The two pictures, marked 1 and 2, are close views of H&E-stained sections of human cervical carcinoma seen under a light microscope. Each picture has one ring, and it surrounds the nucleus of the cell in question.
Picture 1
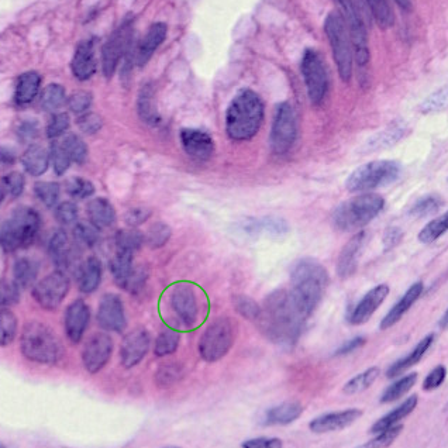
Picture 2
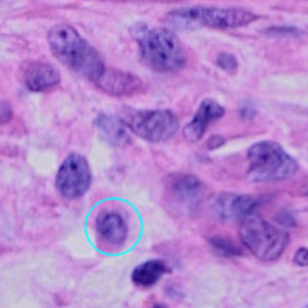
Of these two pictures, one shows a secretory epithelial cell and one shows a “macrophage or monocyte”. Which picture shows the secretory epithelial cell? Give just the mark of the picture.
1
